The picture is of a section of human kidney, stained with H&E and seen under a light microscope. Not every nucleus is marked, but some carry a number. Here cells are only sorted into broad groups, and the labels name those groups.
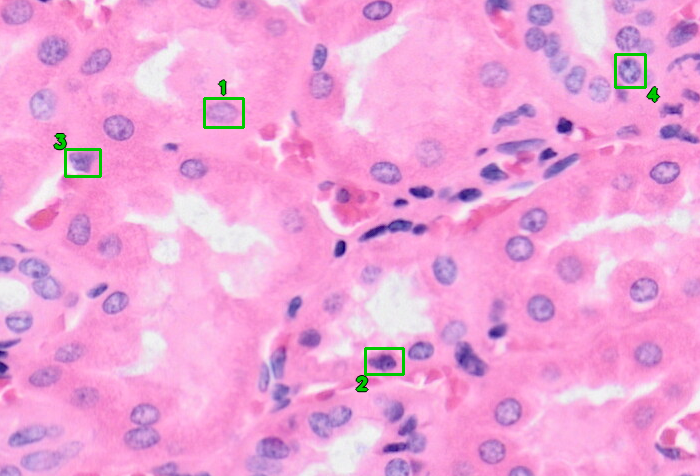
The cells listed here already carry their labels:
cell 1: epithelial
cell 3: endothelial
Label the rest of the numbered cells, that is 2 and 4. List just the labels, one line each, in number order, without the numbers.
epithelial
epithelial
